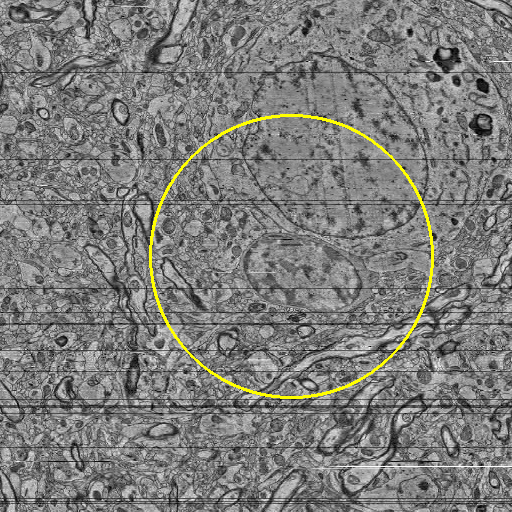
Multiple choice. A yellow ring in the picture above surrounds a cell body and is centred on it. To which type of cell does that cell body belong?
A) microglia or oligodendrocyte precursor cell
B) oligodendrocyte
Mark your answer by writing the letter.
B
